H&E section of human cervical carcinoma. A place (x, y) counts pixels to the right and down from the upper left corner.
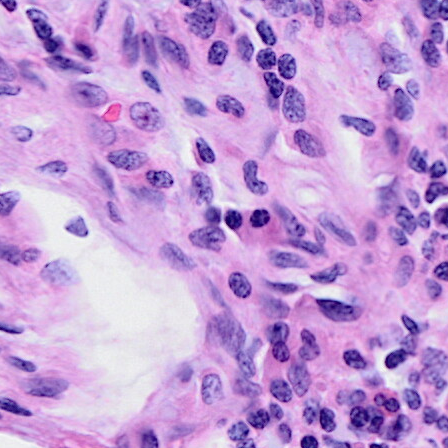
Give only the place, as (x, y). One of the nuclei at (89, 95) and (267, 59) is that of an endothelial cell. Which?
(89, 95)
